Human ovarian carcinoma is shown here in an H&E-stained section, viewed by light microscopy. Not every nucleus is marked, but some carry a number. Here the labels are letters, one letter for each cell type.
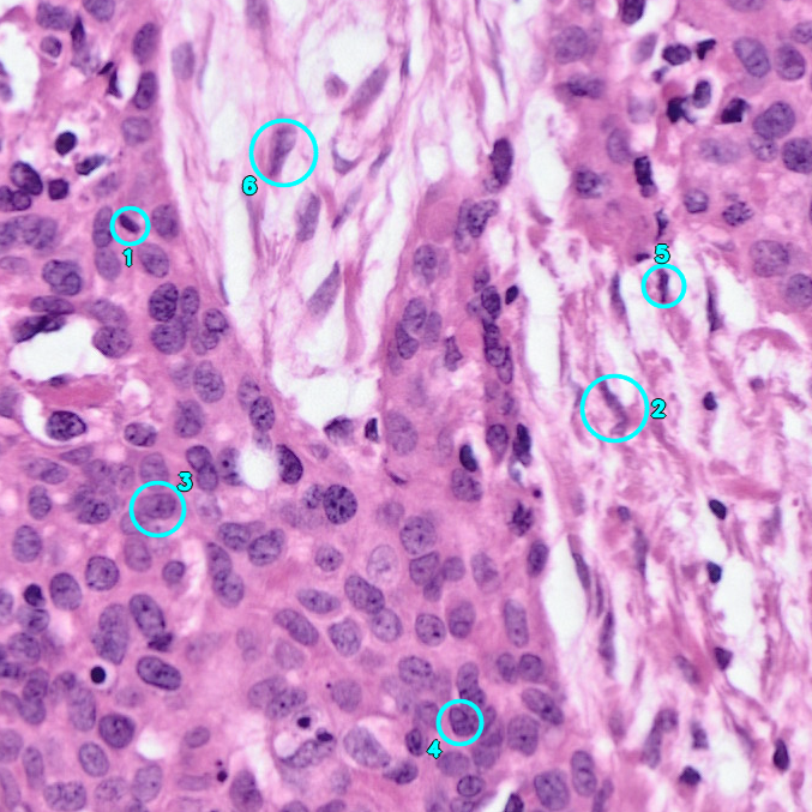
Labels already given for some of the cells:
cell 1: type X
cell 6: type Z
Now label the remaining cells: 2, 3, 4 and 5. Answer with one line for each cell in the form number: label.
2: type Z
3: type X
4: type X
5: type Z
